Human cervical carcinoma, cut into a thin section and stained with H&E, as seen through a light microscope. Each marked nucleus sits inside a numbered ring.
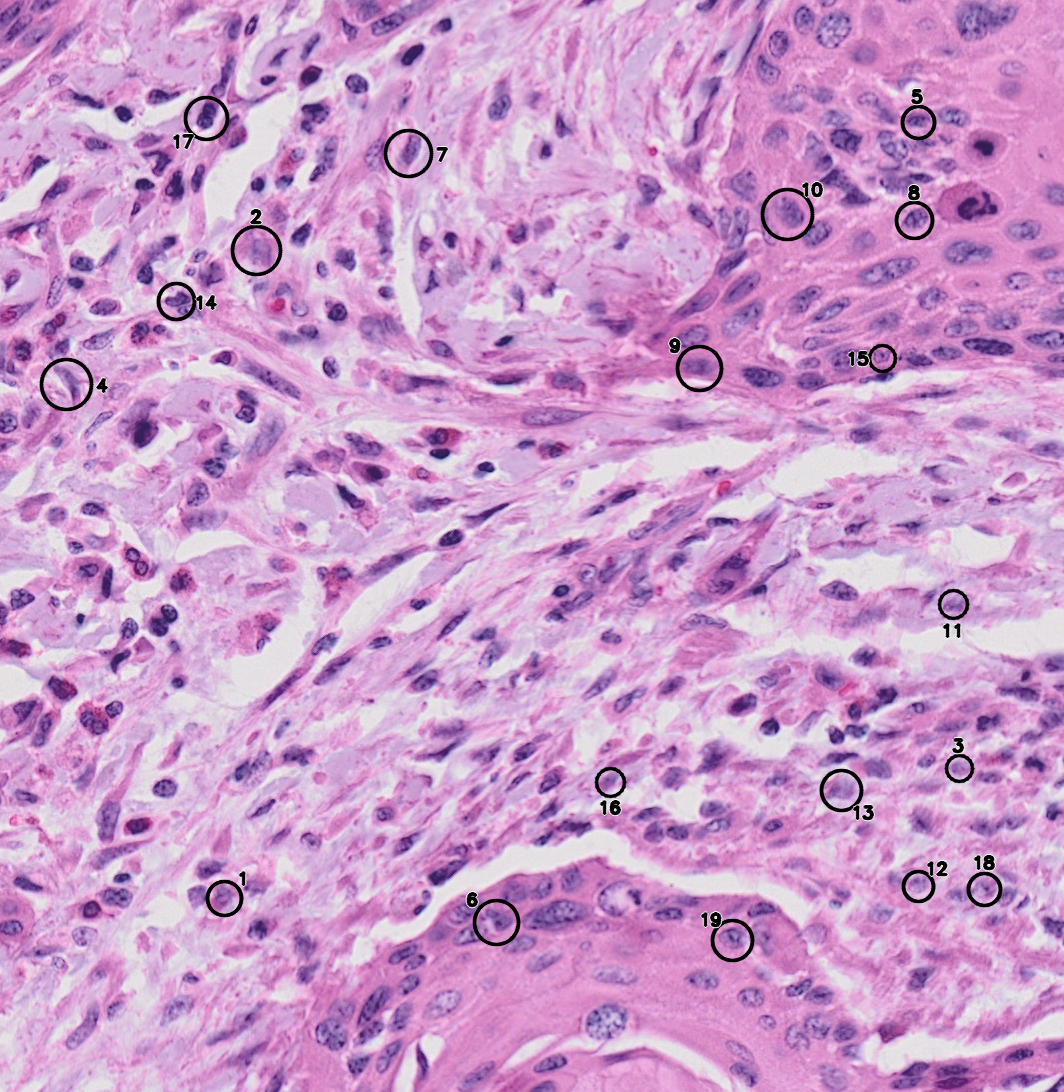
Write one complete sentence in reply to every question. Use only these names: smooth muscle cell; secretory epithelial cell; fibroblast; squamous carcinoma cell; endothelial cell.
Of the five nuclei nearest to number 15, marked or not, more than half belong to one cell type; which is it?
The majority of the five nuclei closest to number 15 belong to squamous carcinoma cells.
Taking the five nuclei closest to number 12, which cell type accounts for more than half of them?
Around number 12, most of the five nearest nuclei are those of fibroblasts.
